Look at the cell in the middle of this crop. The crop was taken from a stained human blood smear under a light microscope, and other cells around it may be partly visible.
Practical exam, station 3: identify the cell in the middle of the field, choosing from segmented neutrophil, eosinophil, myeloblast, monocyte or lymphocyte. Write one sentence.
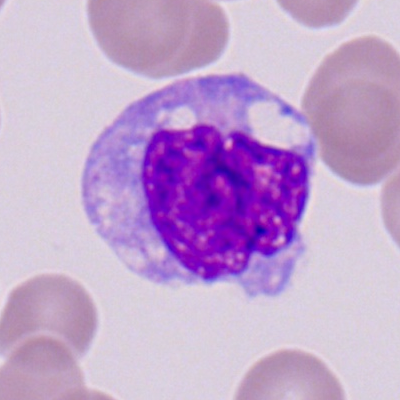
Regarding the central cell, it is a monocyte.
